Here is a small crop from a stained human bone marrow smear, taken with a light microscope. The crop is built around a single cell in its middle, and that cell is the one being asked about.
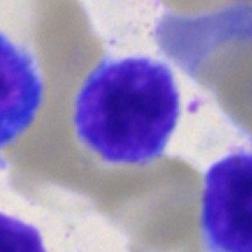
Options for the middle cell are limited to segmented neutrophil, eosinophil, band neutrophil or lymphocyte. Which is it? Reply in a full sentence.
The cell centered in this field of view is a lymphocyte.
